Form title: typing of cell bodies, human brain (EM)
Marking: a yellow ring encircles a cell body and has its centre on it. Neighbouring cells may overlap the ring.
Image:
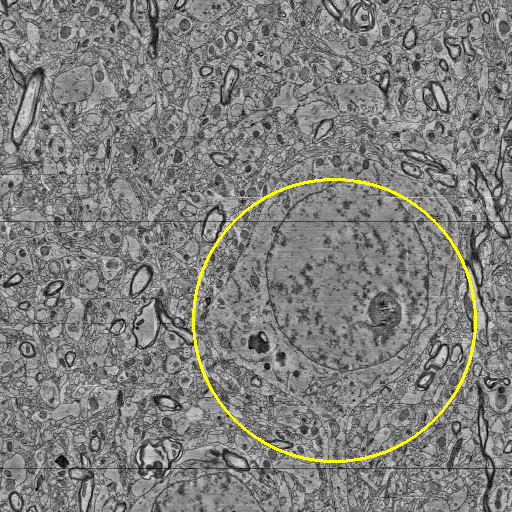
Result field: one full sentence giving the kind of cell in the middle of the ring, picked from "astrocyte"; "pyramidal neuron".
In the picture, the ring is centred on a pyramidal neuron, whose cell body it encircles.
